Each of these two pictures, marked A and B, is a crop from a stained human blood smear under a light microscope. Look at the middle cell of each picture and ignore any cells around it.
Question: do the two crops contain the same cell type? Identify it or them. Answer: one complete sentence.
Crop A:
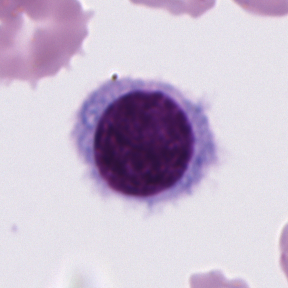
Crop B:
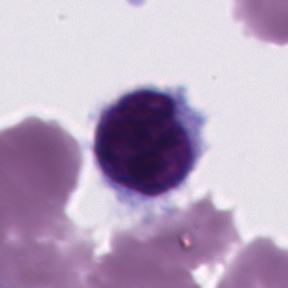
Yes, both of the crops in this pair show hairy cells, one cell in each crop.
